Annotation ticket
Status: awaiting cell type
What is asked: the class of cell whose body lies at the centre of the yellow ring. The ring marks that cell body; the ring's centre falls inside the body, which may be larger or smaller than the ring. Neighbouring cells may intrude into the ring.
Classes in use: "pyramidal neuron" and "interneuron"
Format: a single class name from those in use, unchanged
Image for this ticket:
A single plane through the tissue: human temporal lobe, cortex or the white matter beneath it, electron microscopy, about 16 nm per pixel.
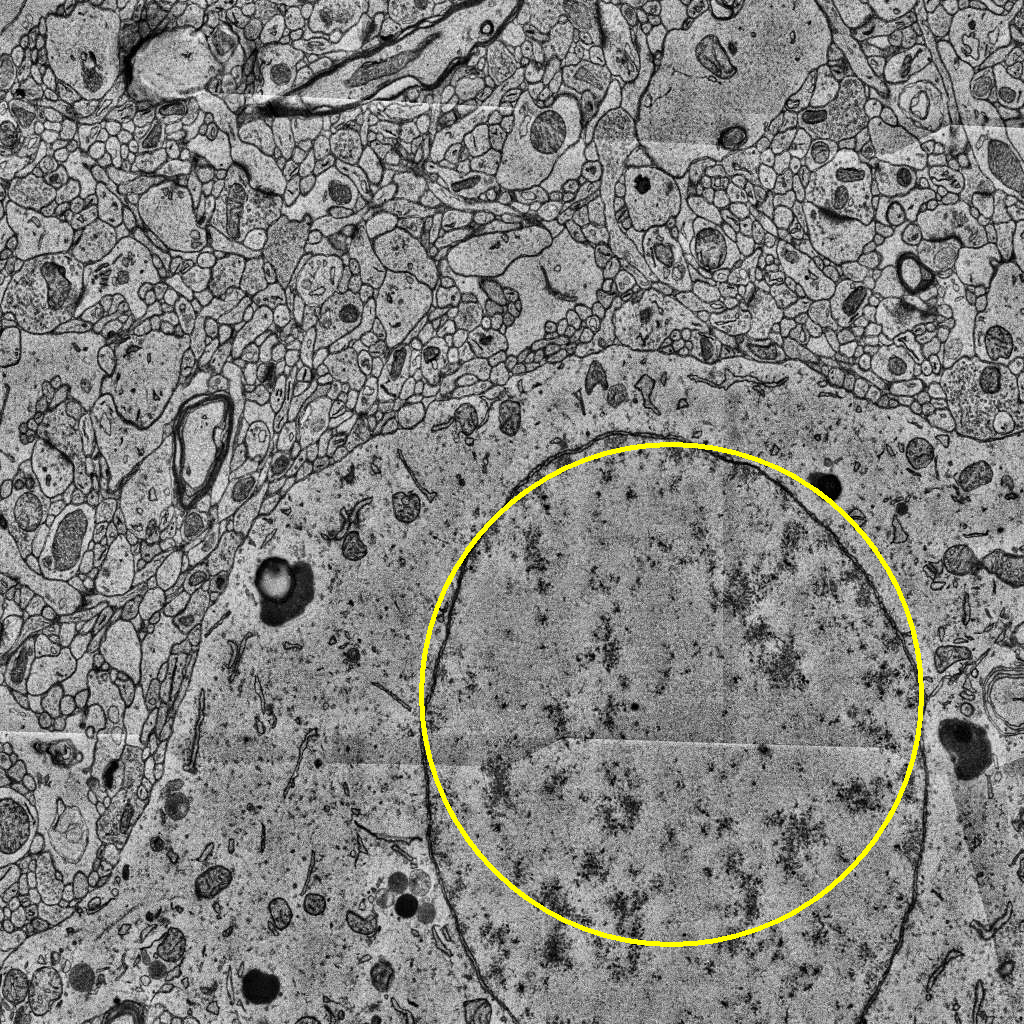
pyramidal neuron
